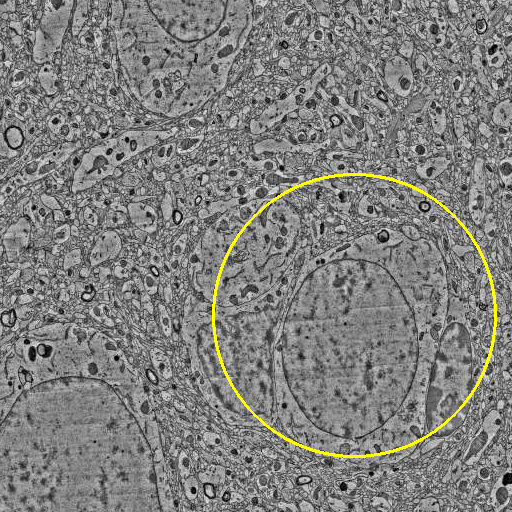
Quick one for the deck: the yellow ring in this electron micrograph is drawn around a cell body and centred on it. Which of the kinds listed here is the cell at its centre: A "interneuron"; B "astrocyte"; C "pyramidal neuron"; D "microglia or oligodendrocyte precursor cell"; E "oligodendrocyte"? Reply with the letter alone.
C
